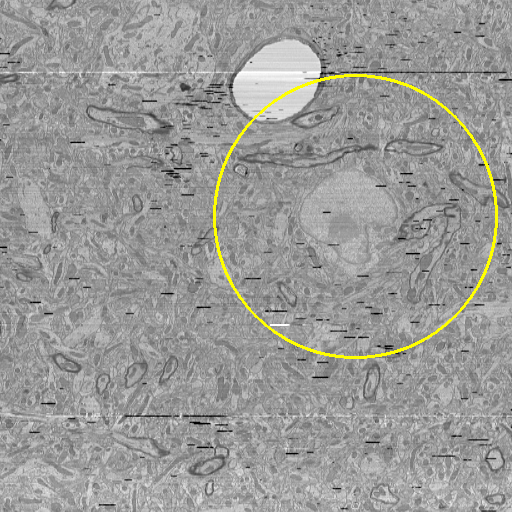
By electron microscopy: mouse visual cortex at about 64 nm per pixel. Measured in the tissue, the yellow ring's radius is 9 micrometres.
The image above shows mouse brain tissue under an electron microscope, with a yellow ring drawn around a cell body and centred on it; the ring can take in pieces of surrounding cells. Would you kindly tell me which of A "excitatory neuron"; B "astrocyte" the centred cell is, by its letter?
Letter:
B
